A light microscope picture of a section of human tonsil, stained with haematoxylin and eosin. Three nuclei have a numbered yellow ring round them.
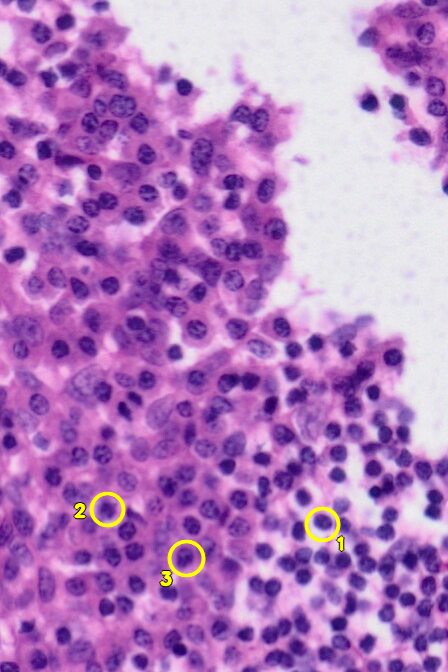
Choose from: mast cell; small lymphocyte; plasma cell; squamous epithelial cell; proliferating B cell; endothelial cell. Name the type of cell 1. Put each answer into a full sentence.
The marked cell bearing number 1 is a small lymphocyte.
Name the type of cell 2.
What the number 2 marks in this field is a plasma cell.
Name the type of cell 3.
The nucleus with number 3 is that of a plasma cell.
